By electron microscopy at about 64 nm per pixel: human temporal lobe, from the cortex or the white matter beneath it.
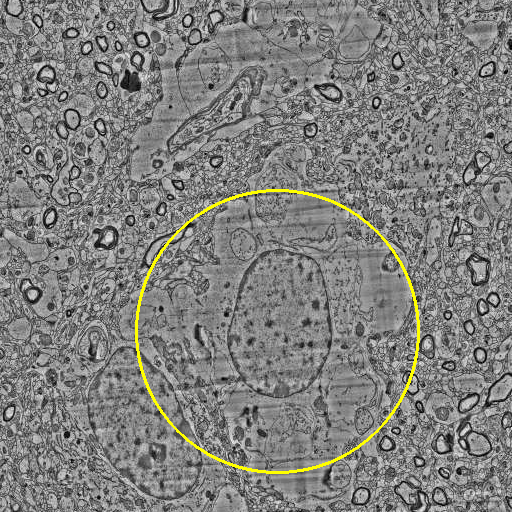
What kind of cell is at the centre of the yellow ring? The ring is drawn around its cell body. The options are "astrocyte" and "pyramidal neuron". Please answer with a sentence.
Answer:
The yellow ring marks the cell body of an astrocyte.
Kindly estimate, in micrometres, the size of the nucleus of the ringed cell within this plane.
In this plane, approximately 9 by 7 micrometers.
